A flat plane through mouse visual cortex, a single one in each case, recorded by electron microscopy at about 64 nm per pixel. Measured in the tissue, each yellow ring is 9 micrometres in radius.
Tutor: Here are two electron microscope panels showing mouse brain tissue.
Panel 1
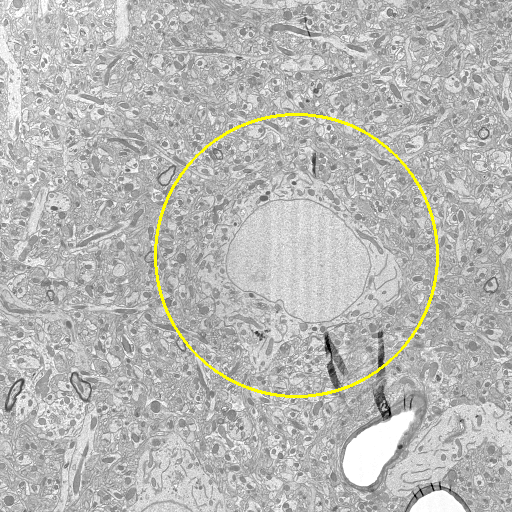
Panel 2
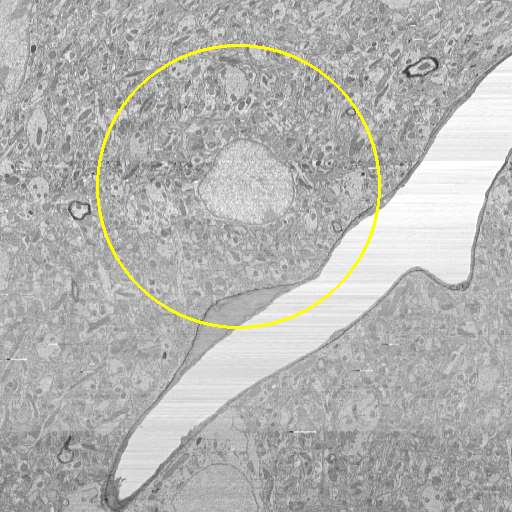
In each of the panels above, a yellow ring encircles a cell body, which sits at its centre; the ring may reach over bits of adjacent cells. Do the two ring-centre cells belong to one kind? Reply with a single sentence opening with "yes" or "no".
No, the two cells sitting at the ring centres in the panels belong to two kinds.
